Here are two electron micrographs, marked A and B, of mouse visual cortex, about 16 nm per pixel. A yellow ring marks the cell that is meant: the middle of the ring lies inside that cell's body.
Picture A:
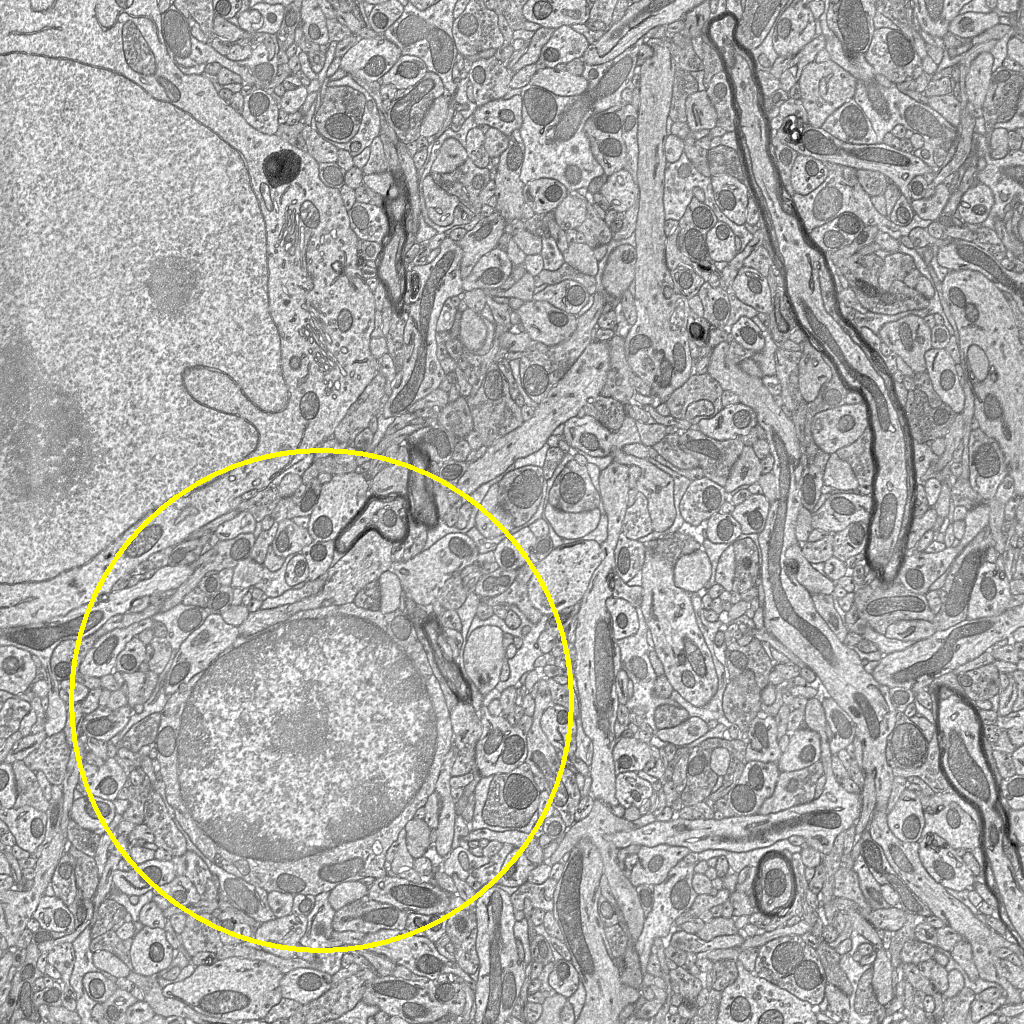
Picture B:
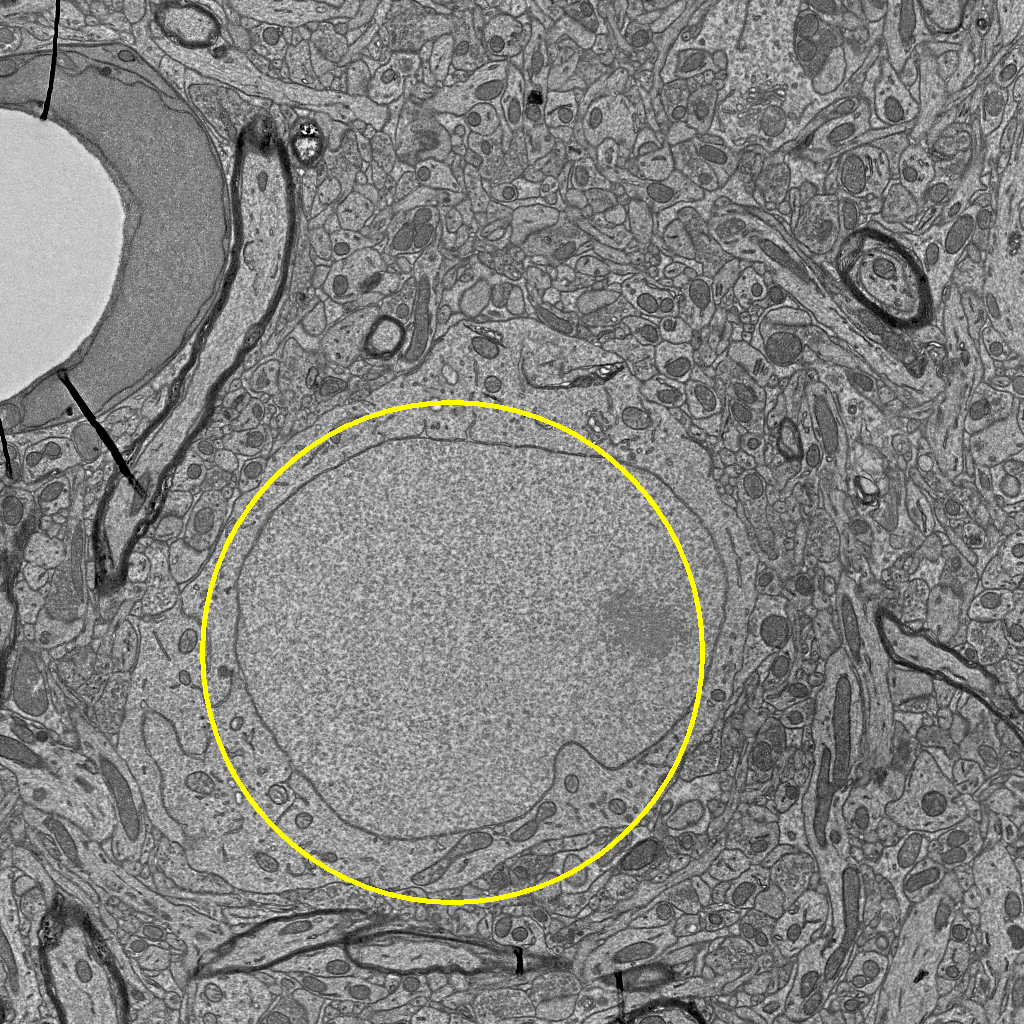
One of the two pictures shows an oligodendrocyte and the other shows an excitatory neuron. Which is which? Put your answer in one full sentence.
Picture A is of an oligodendrocyte, and picture B is of an excitatory neuron.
